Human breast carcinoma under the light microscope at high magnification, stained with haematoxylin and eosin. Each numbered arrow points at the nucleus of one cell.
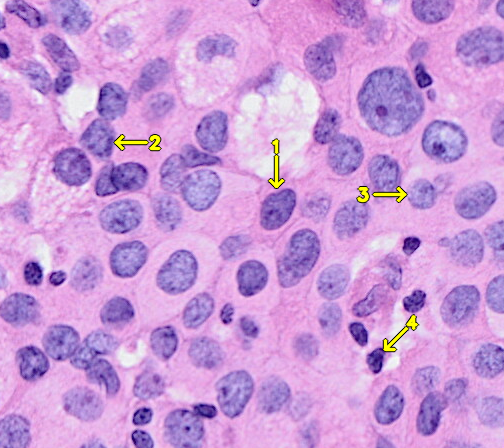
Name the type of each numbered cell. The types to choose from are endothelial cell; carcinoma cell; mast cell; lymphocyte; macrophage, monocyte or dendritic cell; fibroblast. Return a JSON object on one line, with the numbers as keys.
{"1": "carcinoma cell", "2": "carcinoma cell", "3": "carcinoma cell", "4": "lymphocyte"}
